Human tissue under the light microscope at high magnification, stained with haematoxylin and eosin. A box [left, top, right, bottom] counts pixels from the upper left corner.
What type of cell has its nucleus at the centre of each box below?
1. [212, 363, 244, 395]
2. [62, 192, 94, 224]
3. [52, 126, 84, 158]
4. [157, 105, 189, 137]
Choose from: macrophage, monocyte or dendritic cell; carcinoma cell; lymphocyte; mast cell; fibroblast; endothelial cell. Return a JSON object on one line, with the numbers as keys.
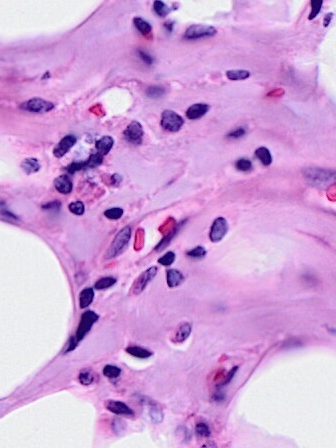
{"1": "endothelial cell", "2": "lymphocyte", "3": "lymphocyte", "4": "lymphocyte"}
